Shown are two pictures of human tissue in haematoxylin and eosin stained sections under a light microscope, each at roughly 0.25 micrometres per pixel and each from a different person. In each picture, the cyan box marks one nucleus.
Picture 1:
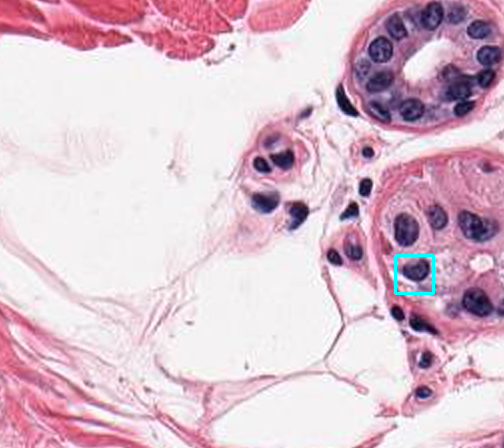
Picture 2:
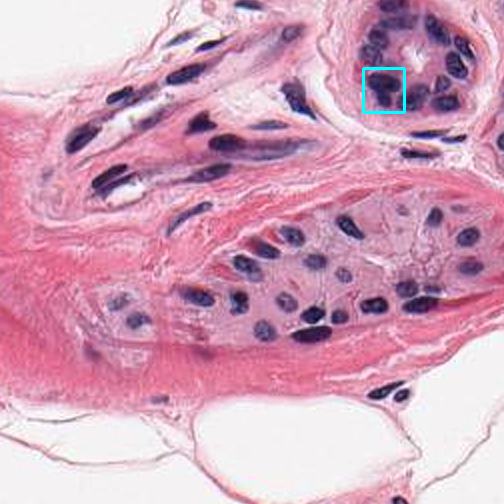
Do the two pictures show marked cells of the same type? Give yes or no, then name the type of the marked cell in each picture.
Yes, both are sweat gland cells.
